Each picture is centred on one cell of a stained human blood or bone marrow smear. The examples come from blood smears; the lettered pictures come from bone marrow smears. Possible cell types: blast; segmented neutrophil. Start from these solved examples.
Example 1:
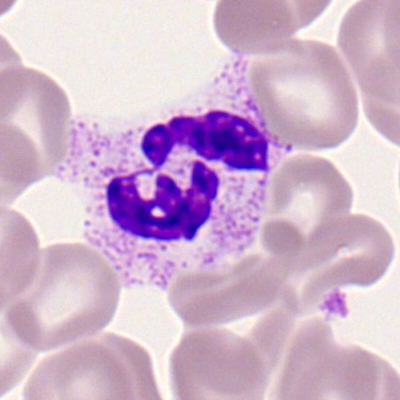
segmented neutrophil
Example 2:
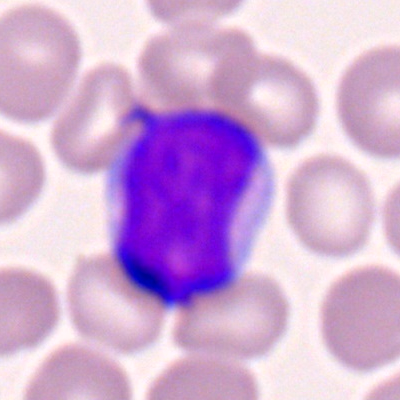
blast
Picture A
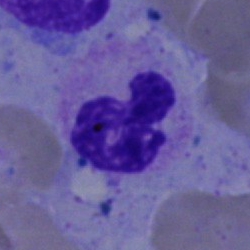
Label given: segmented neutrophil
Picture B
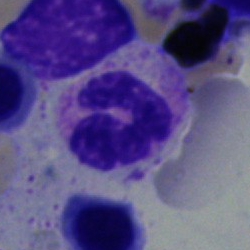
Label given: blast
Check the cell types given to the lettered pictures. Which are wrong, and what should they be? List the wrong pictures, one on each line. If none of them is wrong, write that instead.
B should be segmented neutrophil, not blast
